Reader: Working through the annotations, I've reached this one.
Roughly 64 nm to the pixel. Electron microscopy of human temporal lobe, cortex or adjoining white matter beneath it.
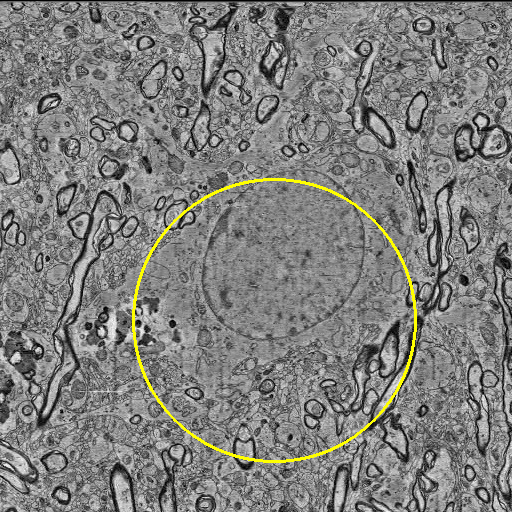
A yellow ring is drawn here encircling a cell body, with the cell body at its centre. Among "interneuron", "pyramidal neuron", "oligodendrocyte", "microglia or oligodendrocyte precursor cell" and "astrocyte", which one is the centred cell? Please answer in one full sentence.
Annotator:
The cell body at the centre of the yellow ring in this image belongs to an astrocyte.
